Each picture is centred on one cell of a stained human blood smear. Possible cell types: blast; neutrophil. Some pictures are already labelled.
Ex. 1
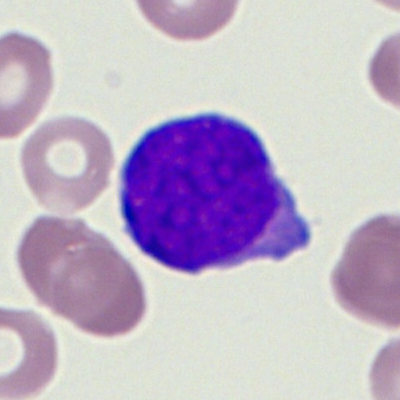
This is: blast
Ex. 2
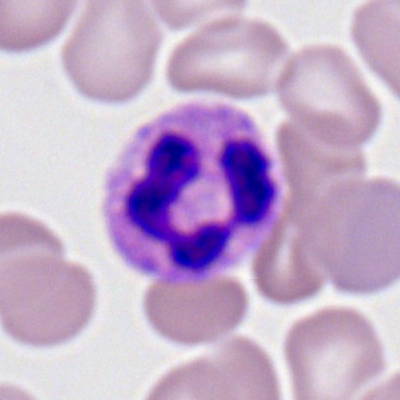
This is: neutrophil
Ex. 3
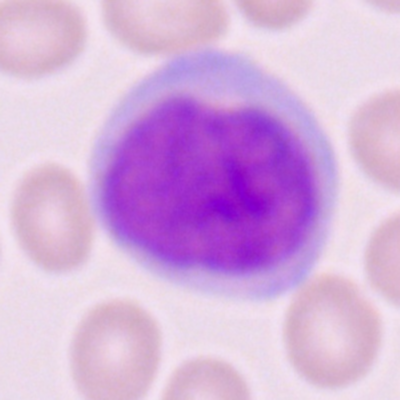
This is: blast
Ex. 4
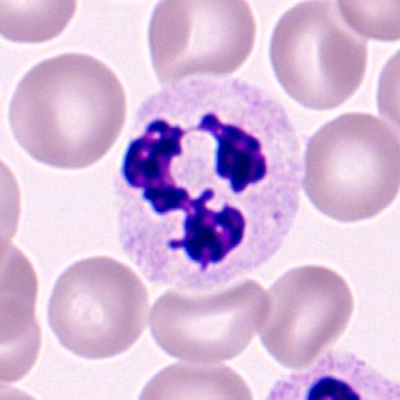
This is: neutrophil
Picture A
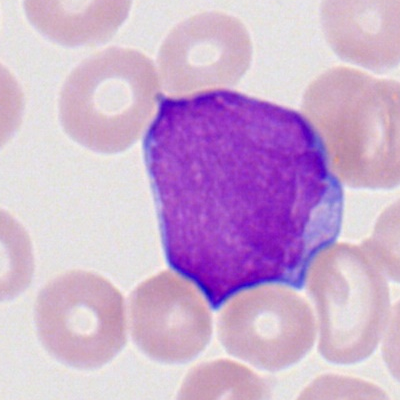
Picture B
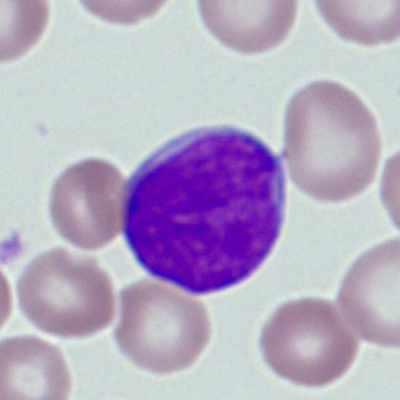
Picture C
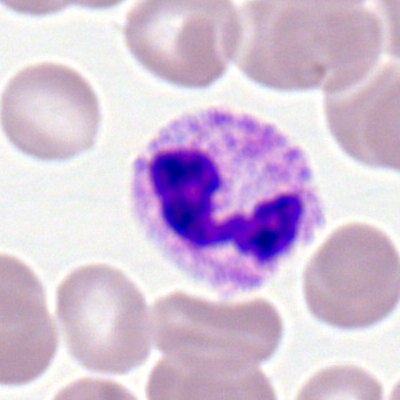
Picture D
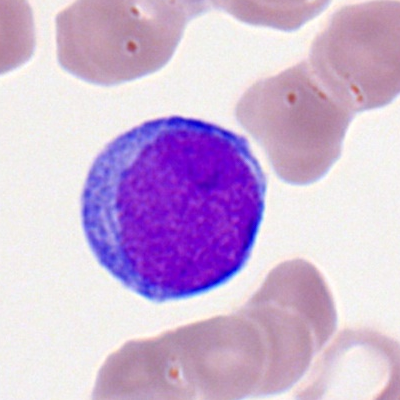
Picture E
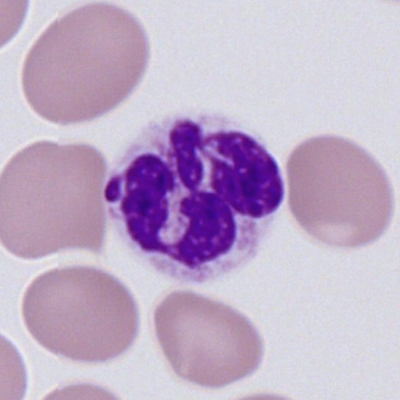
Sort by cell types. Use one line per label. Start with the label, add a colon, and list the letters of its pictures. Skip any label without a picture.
blast: A, B, D
neutrophil: C, E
